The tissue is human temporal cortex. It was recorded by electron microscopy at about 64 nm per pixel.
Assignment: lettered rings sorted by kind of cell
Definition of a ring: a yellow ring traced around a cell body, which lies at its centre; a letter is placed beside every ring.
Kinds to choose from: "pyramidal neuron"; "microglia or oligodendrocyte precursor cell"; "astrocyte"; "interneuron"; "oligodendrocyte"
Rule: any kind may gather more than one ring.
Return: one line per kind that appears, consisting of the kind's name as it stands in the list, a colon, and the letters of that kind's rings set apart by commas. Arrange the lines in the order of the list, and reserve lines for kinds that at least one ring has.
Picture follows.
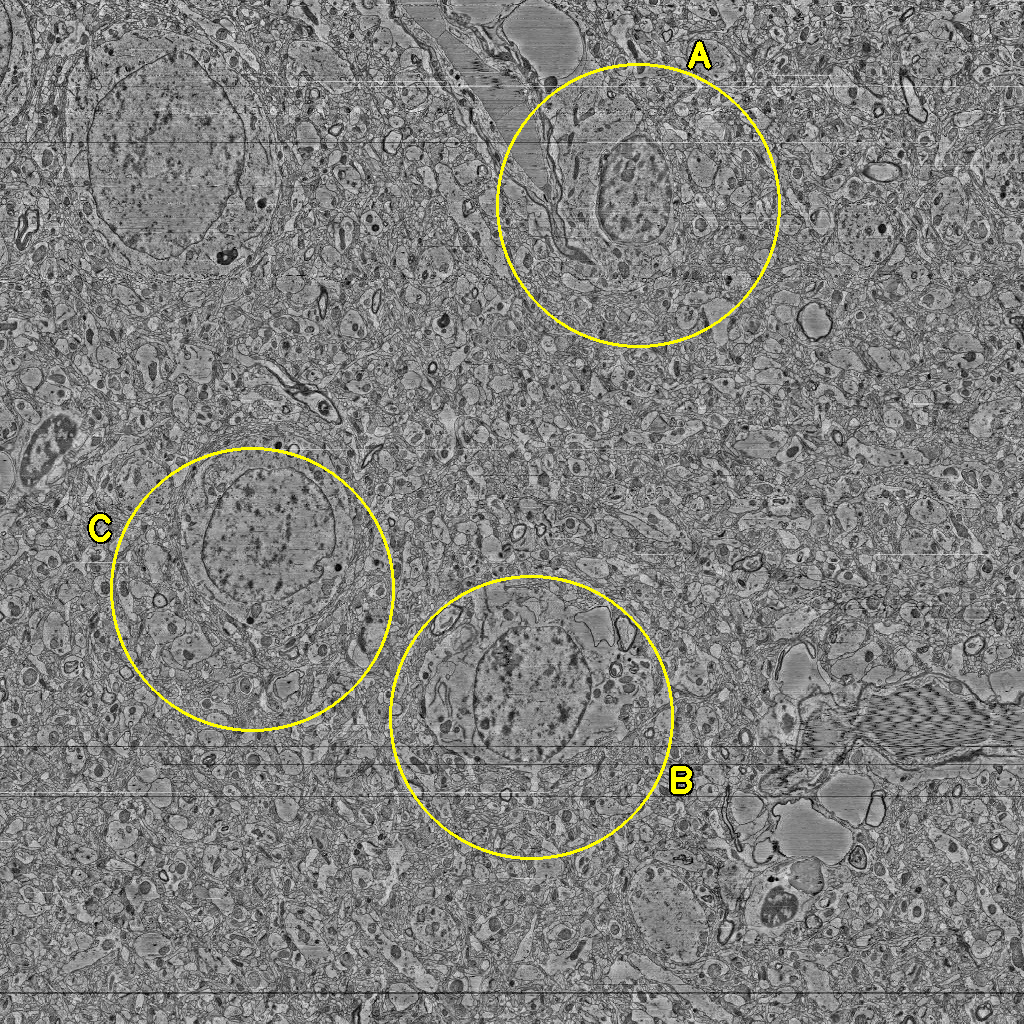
pyramidal neuron: C
astrocyte: B
oligodendrocyte: A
